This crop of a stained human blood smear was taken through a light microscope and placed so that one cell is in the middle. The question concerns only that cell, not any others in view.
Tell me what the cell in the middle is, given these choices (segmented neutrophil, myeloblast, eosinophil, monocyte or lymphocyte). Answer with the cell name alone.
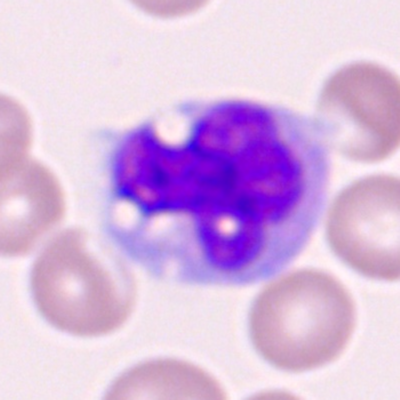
monocyte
